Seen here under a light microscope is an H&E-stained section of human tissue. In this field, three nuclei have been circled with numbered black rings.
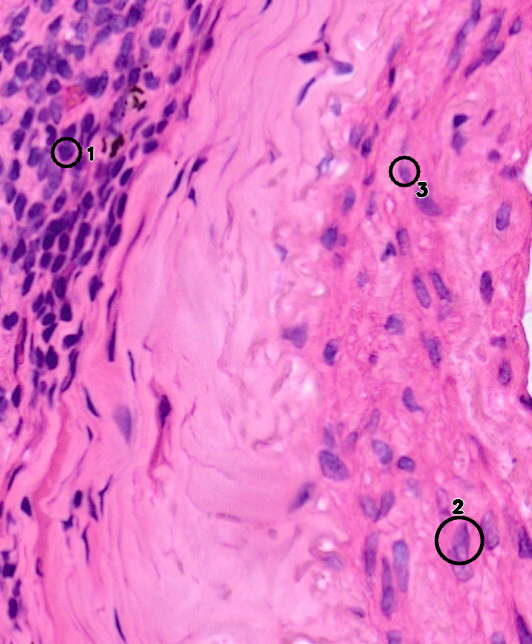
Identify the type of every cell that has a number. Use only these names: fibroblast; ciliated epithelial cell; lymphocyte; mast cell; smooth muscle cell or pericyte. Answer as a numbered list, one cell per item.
1. lymphocyte
2. smooth muscle cell or pericyte
3. smooth muscle cell or pericyte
